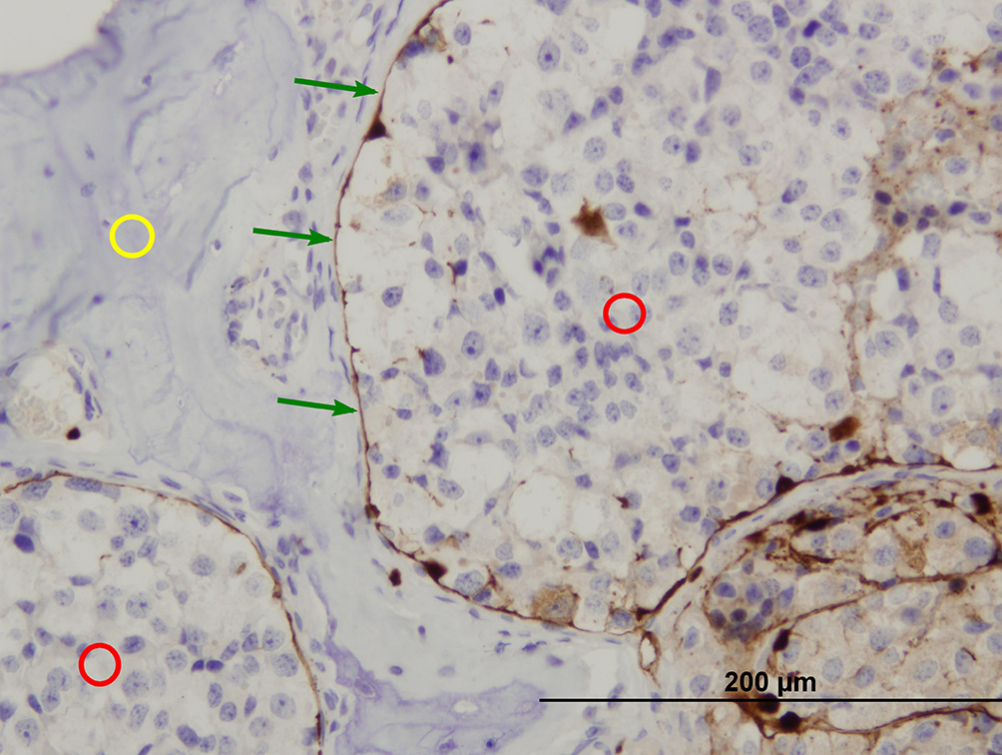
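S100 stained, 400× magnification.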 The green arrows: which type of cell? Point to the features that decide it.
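Thin, elongated brown-stained cells run along the edge of a cell nest. The brown cells form a thin rim that wraps around the nest. So: sustentacular cells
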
